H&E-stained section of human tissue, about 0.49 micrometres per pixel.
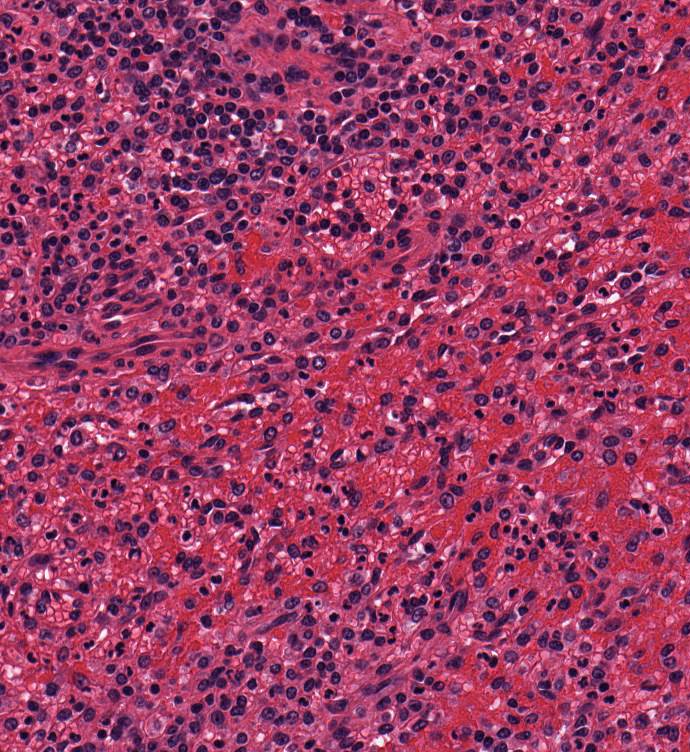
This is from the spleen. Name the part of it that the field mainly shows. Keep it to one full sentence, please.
Visible in this section of human tissue is the part called red pulp.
